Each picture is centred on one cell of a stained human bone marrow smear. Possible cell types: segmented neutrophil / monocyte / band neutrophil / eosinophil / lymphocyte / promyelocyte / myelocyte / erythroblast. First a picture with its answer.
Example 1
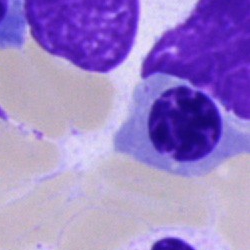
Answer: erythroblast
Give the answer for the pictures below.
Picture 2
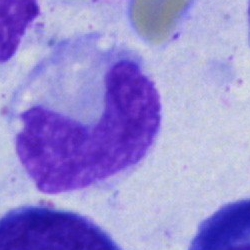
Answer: band neutrophil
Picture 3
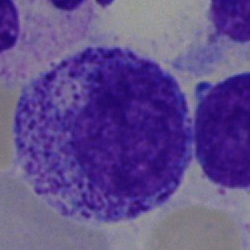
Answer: myelocyte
